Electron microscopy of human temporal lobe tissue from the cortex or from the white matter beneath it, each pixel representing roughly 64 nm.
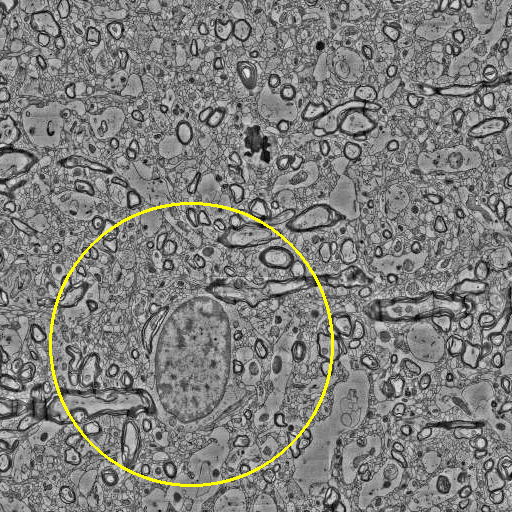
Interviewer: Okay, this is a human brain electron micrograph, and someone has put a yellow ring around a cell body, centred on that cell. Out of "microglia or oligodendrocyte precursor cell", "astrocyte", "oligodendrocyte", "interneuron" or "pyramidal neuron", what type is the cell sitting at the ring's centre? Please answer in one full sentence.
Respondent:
The cell at the centre of the yellow ring in this picture is an oligodendrocyte.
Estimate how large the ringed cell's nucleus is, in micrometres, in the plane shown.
Clearly longer than it is wide in this plane, the nucleus measures roughly 8 by 5 micrometres.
